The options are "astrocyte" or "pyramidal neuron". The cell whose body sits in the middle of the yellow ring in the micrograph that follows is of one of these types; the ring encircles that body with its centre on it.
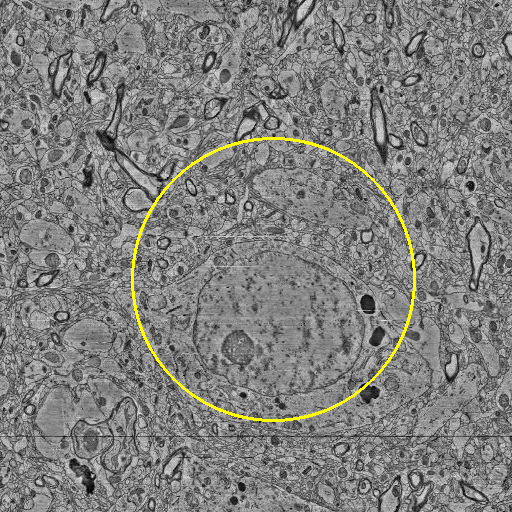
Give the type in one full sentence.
Going by the micrograph, the cell centred in the yellow ring is a pyramidal neuron.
